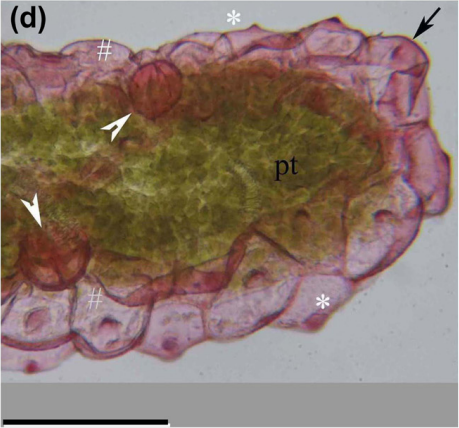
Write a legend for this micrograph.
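This is a cross section through the edge of a leaf blade, where the epidermis wraps around the tip. The epidermal cells are large, clear and rounded, with red-pink walls, and their outer walls bulge outward. At the margin these clear cells form a thick rim around the green tissue. Inside, the palisade cells form a dense green-brown mass. Two rounded red-walled stomata sit in the epidermis on either face.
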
